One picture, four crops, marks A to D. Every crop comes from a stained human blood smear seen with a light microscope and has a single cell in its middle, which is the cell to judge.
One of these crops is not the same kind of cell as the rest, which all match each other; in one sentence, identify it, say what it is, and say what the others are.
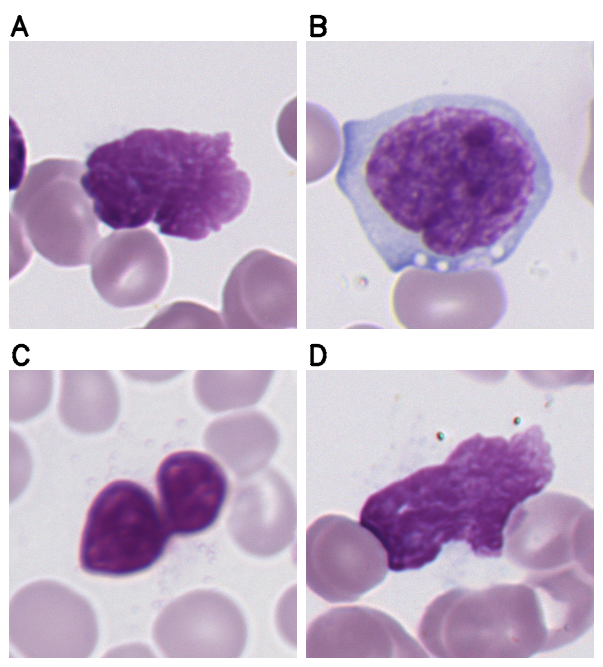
Crop B stands apart as a myeloblast, whereas the remaining crops all show smudge cells.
